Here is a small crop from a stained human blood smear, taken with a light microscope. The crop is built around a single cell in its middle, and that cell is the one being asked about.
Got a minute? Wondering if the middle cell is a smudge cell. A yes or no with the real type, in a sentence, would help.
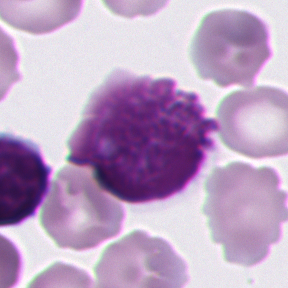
Yes, the cell positioned at the centre of the crop is a smudge cell.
